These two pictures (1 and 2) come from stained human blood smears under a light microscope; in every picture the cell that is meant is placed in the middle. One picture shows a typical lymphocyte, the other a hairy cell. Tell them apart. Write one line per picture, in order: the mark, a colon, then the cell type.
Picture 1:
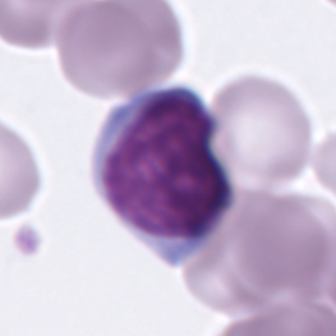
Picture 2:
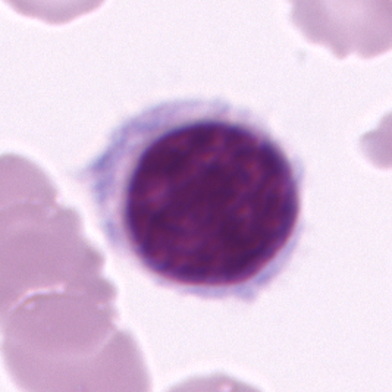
1: typical lymphocyte
2: hairy cell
